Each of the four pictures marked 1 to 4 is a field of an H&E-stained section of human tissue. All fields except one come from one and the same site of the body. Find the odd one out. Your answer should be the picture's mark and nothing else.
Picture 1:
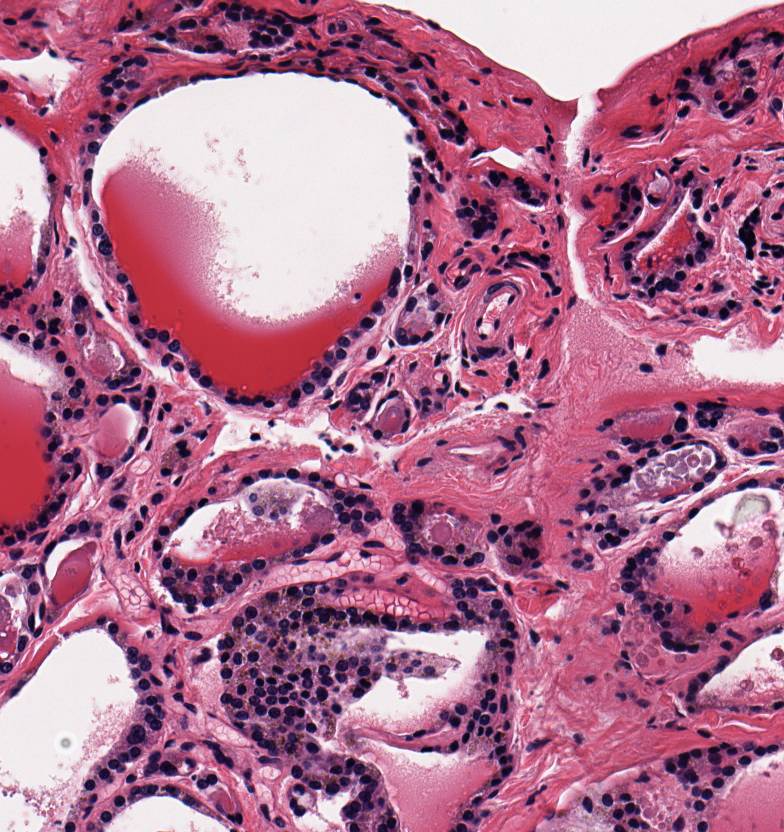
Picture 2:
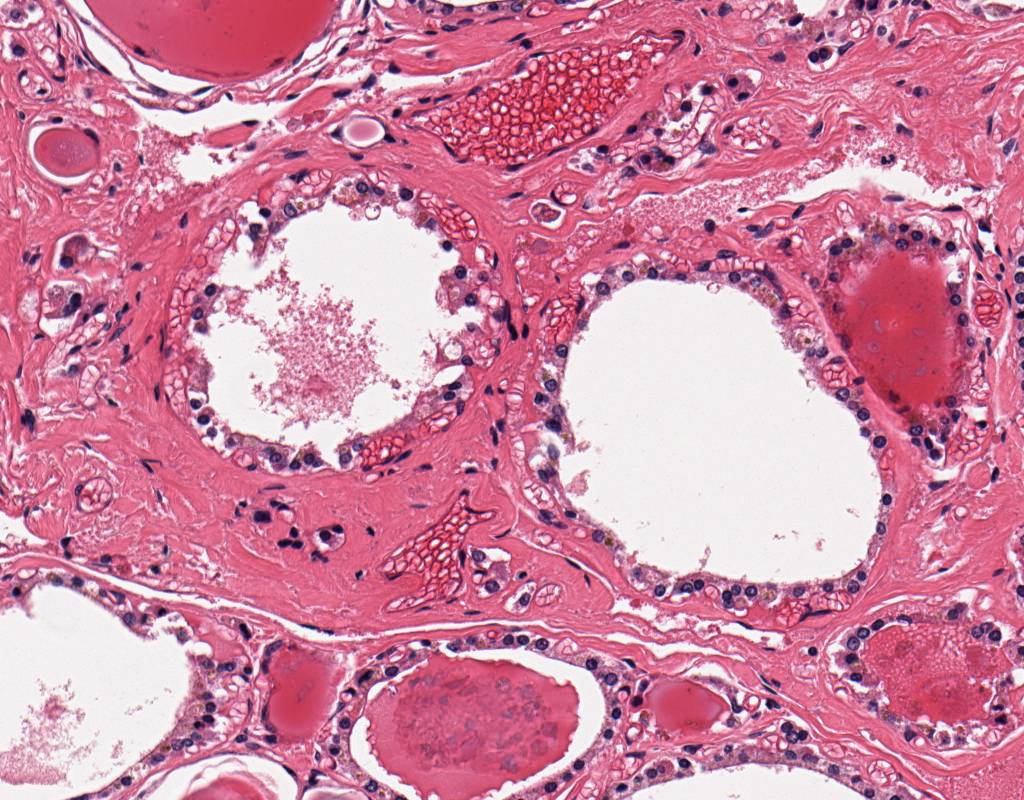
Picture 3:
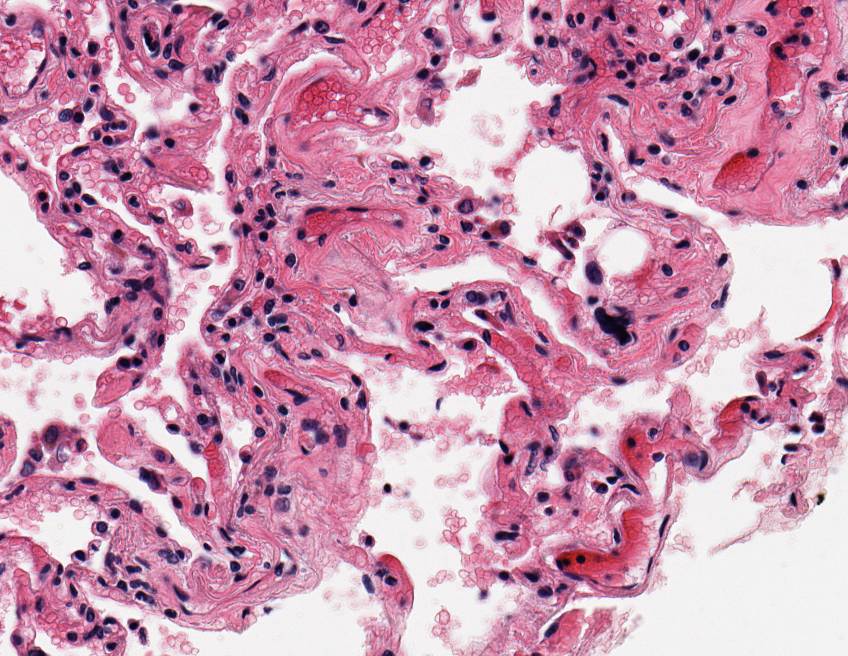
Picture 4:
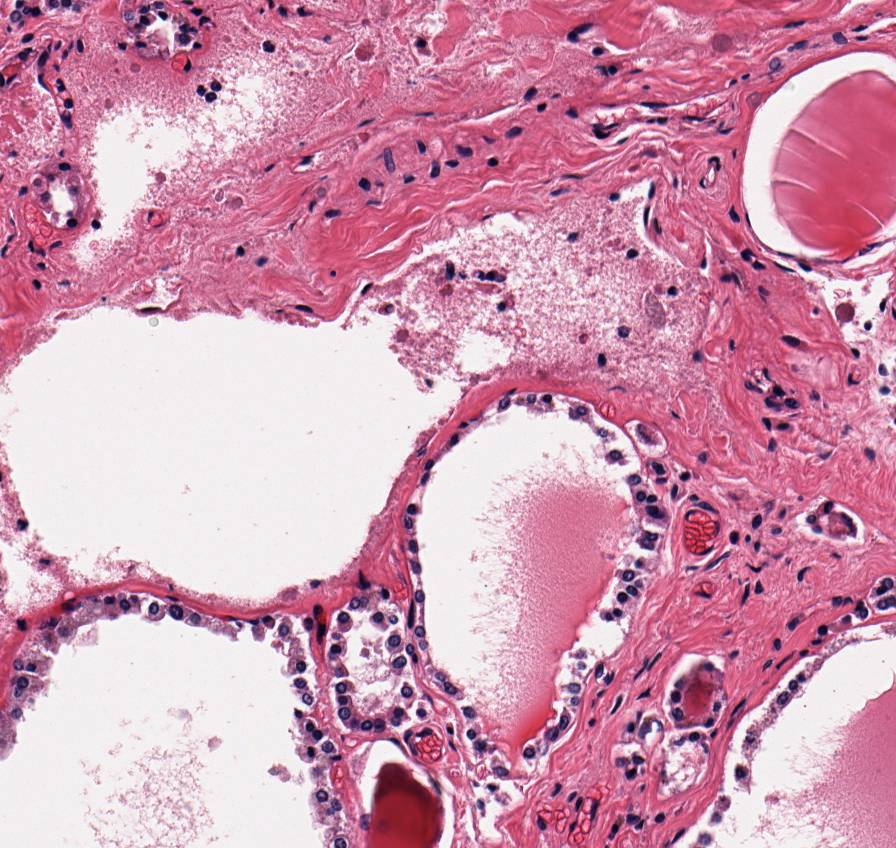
3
